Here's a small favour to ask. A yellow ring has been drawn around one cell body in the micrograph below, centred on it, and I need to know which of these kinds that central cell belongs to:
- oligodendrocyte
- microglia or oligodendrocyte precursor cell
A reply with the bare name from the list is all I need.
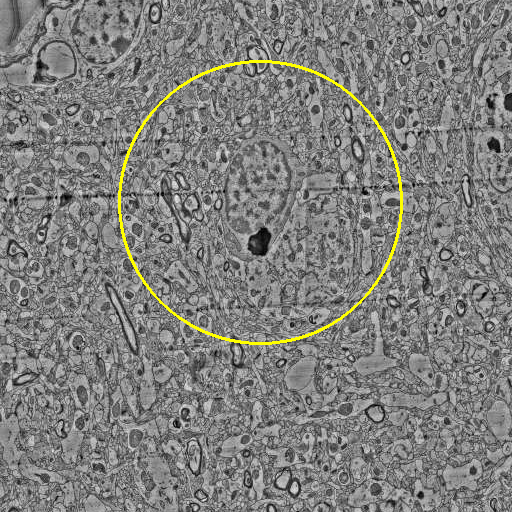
oligodendrocyte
